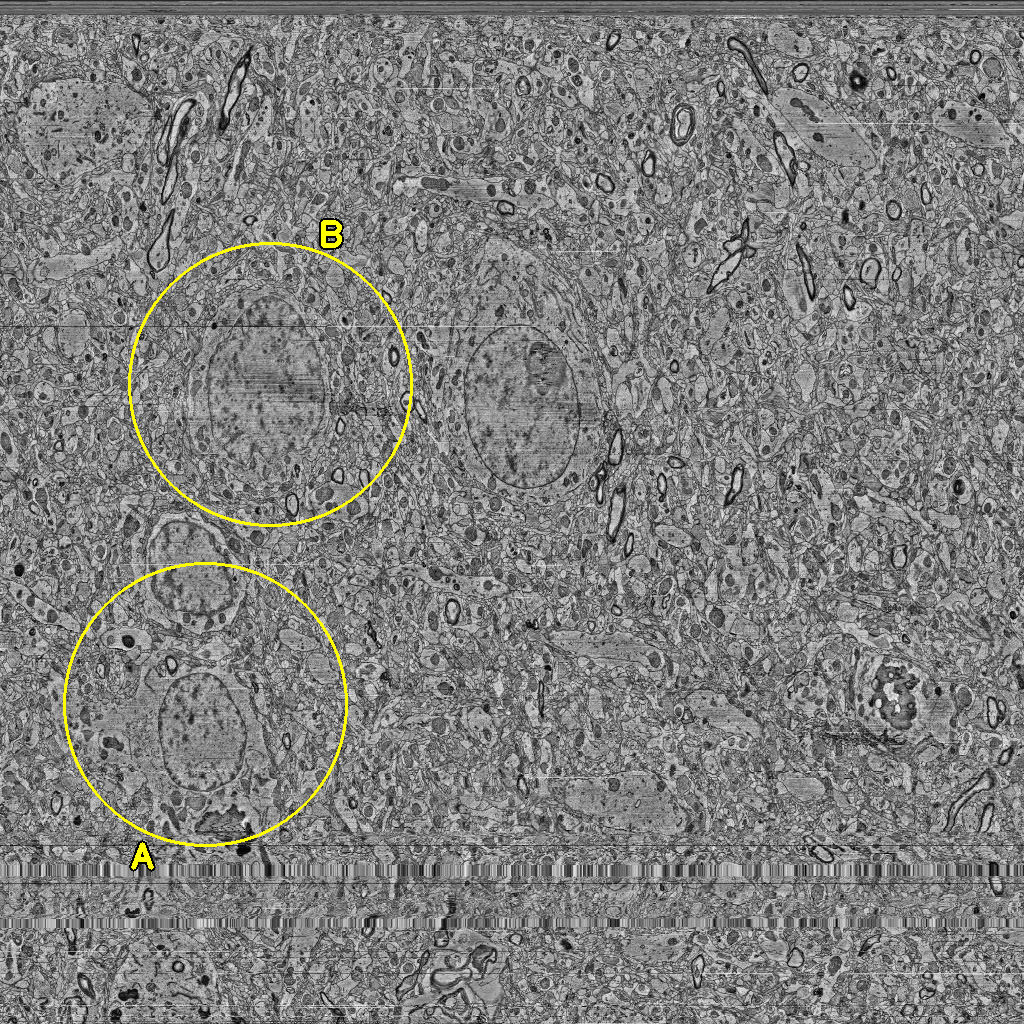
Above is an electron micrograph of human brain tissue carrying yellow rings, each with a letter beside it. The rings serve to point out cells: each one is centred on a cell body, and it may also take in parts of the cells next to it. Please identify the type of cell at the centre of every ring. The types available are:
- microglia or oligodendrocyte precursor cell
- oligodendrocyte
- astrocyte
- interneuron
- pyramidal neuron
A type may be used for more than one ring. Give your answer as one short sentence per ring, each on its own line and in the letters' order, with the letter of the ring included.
Ring A points to the cell body of an astrocyte.
Ring B points to the cell body of an interneuron.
